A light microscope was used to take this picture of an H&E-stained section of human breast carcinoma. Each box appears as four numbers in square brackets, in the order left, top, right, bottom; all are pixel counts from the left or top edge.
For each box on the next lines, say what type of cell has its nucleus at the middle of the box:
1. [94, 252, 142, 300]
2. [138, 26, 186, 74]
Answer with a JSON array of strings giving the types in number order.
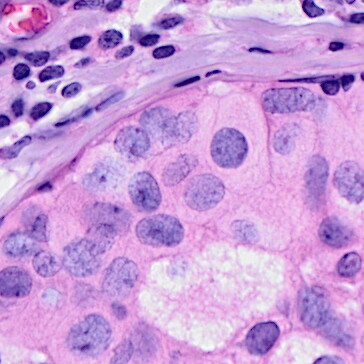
["carcinoma cell", "lymphocyte"]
